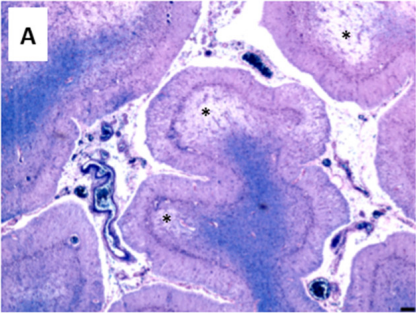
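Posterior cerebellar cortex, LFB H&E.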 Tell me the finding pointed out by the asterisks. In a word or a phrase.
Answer: necrotic lesions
